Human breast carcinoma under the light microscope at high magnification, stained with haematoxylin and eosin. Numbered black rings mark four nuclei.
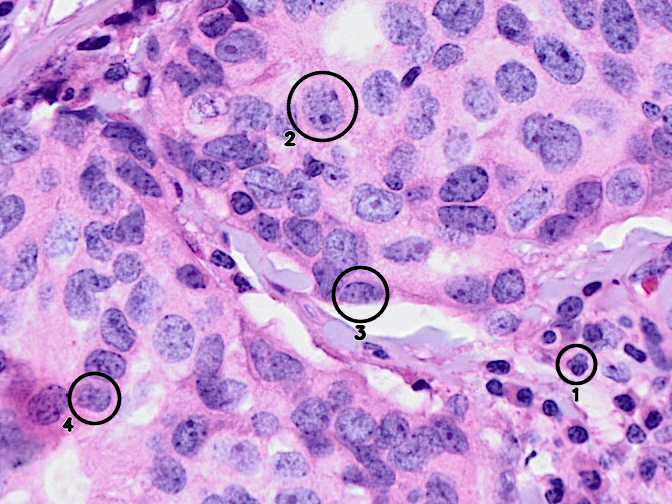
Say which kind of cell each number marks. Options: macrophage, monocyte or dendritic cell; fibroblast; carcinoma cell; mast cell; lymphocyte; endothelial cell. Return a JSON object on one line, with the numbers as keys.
{"1": "lymphocyte", "2": "carcinoma cell", "3": "carcinoma cell", "4": "carcinoma cell"}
